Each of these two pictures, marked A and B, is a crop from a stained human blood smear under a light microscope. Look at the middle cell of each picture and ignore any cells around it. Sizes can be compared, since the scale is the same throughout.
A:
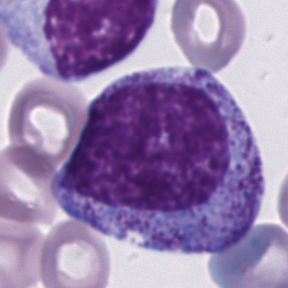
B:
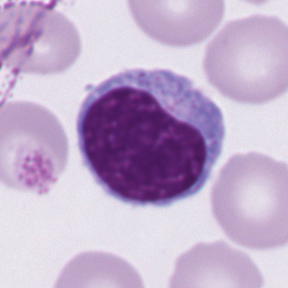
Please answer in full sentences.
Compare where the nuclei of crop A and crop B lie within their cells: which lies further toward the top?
The nucleus in crop A lies further toward the top of its cell.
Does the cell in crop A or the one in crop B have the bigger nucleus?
Crop A shows the larger nucleus; it covers about 1.5 times the area of the nucleus in crop B.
